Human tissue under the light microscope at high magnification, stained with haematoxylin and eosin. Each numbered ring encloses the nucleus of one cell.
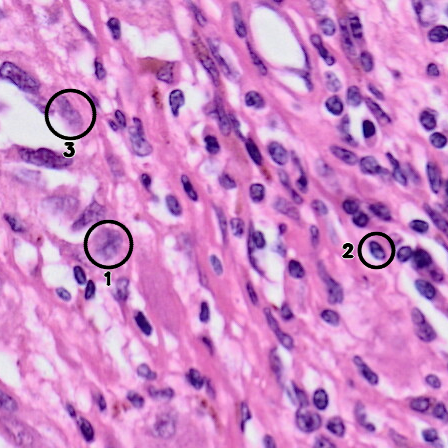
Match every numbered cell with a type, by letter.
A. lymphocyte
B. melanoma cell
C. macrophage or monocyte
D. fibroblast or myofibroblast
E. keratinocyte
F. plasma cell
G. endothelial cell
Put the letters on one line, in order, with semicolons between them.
B; A; B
